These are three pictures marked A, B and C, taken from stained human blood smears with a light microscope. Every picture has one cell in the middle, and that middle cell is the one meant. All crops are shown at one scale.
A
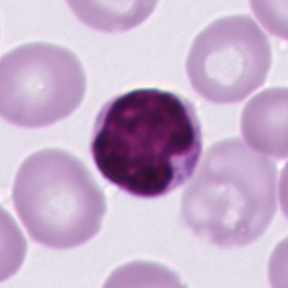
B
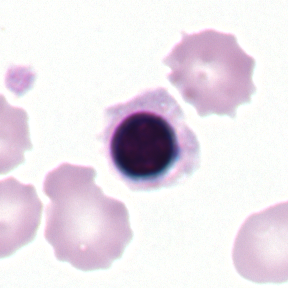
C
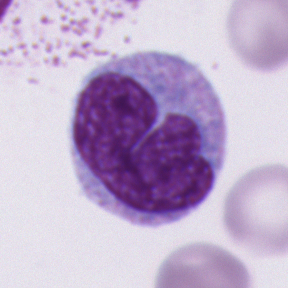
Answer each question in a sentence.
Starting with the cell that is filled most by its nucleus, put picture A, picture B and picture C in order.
From the most filled to the least, the order is A, C, B.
